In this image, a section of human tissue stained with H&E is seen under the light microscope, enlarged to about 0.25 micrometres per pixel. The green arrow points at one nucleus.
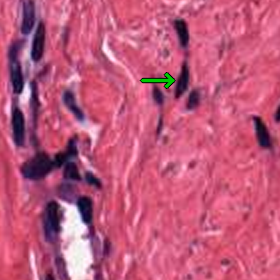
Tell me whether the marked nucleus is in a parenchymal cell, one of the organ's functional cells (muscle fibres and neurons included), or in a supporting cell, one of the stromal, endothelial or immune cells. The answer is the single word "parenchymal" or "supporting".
supporting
